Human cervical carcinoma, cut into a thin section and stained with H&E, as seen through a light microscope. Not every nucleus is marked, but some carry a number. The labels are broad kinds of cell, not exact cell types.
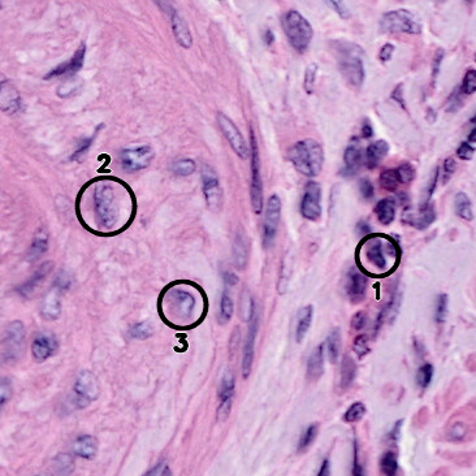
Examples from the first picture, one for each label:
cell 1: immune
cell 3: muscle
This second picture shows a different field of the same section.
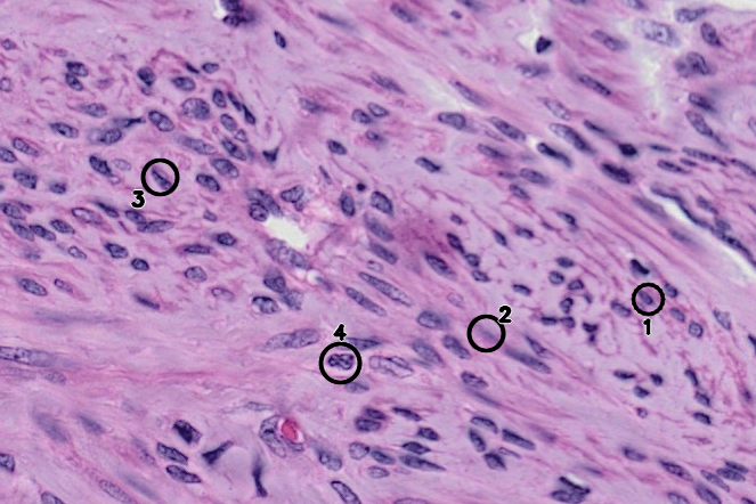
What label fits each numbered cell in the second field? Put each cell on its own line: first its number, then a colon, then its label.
1: muscle
2: muscle
3: muscle
4: immune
